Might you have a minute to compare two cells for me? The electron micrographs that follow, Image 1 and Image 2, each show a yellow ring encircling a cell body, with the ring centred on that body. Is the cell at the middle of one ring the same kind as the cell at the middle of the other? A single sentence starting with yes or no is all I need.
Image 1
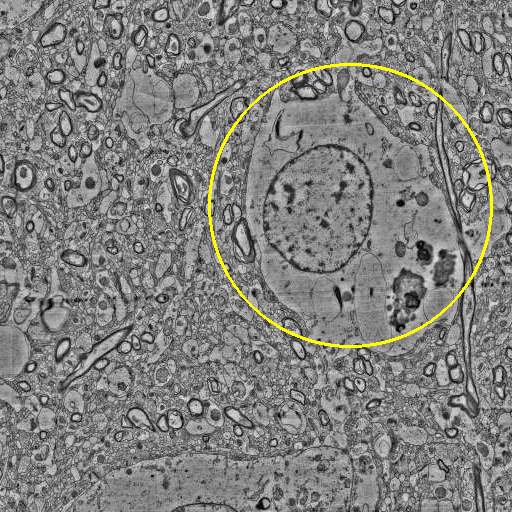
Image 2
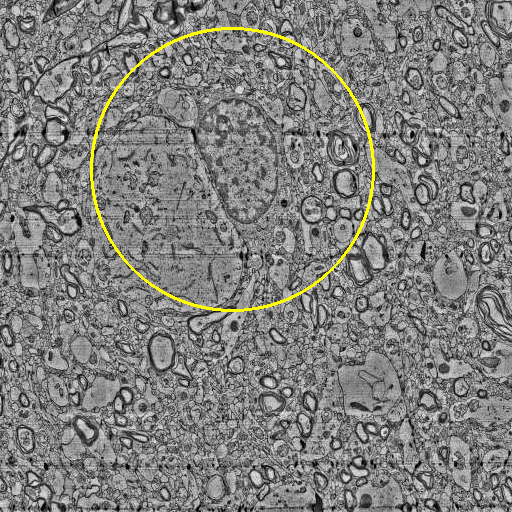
No, the cells in the middle of the two rings are of two separate kinds.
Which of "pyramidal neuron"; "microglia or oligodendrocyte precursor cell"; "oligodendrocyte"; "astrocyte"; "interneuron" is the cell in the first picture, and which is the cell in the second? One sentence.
The two differ: the first cell is an astrocyte and the second is an oligodendrocyte.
